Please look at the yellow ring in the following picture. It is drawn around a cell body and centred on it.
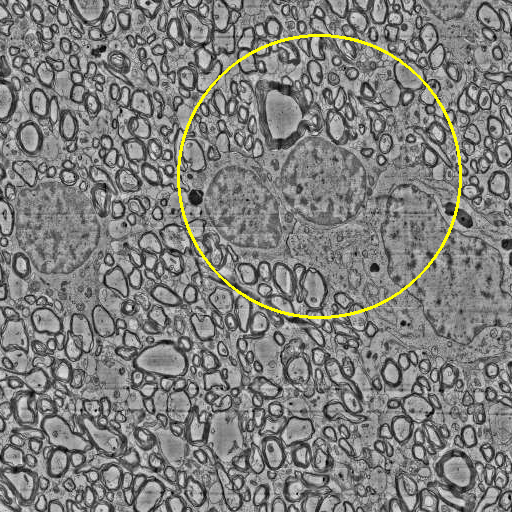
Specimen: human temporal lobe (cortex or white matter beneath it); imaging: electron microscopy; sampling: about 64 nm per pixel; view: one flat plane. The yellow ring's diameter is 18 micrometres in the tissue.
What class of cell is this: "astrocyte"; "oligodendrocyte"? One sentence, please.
The ring surrounds the cell body of an oligodendrocyte.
